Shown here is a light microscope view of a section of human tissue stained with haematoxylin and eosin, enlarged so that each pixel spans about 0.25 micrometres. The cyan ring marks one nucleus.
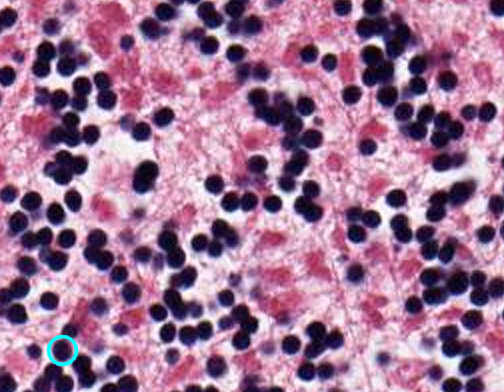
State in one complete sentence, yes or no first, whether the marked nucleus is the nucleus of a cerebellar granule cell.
Yes, it is a cerebellar granule cell to which the marked nucleus belongs.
